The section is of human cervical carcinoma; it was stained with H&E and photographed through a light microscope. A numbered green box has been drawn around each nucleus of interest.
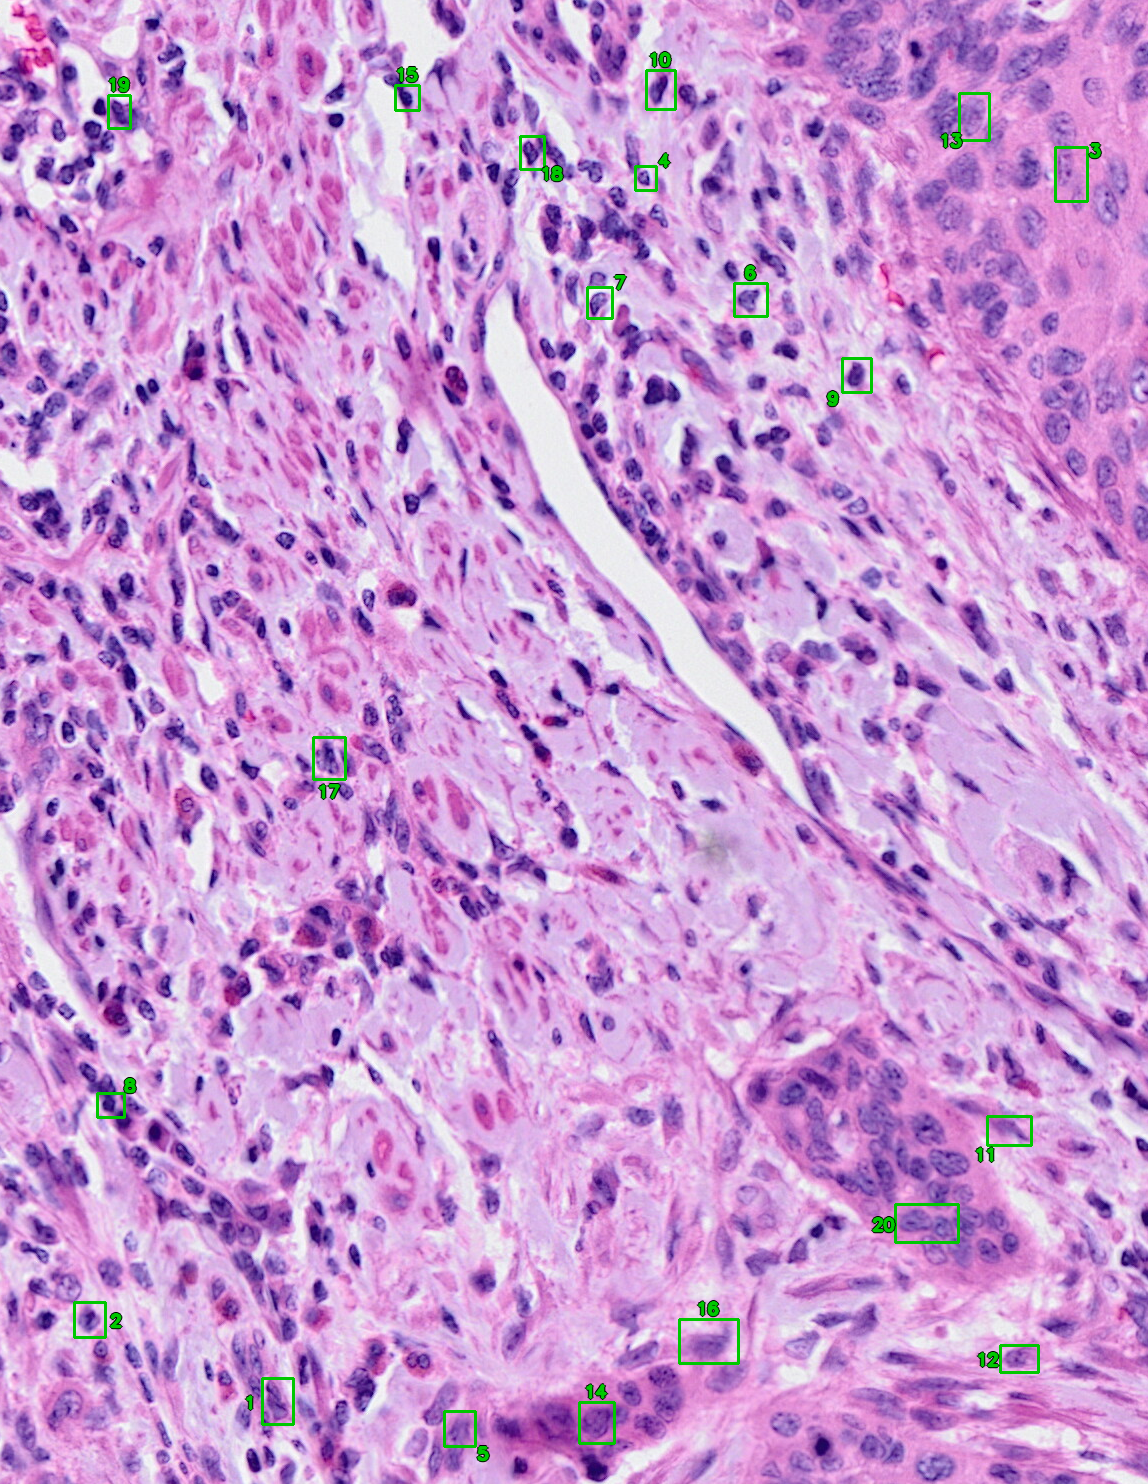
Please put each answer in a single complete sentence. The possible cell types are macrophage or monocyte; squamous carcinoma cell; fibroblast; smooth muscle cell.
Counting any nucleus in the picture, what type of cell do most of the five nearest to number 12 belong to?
The majority of the five nuclei closest to number 12 belong to fibroblasts.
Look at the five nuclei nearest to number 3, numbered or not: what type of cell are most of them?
Most of the five nuclei nearest to number 3 are those of squamous carcinoma cells.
